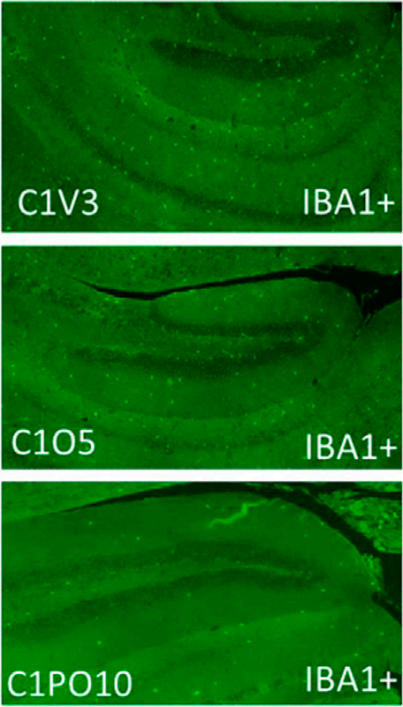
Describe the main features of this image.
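The curved, darker bands running across each image are the densely packed cell layers of the hippocampus, which stand out against the paler neuropil around them. The green dots are spread fairly evenly through the layers and the neuropil, without obvious clustering. At this scale the individual cells show as points, so their fine branching processes cannot be made out. A dark cleft runs along the top of the lower two images, where the section has separated along the tissue's surface.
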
